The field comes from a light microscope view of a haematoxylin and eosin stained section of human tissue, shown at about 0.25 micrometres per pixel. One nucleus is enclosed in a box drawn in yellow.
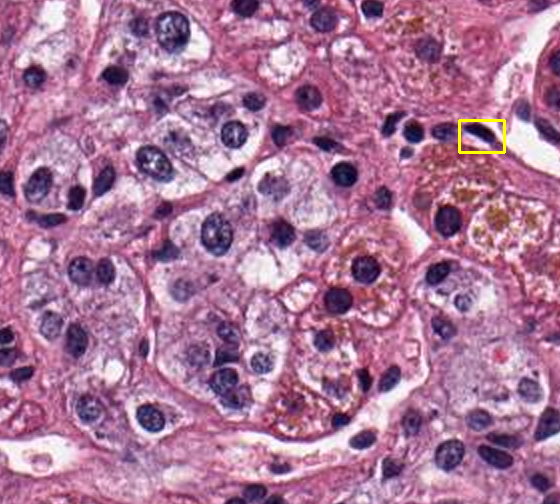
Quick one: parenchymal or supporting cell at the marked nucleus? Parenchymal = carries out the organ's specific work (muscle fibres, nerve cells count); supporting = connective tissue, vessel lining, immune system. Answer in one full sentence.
The marked nucleus is recognized as that of a supporting cell.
